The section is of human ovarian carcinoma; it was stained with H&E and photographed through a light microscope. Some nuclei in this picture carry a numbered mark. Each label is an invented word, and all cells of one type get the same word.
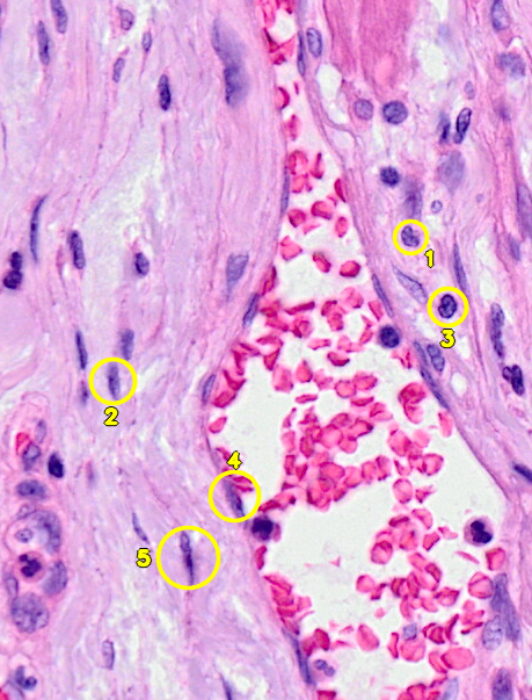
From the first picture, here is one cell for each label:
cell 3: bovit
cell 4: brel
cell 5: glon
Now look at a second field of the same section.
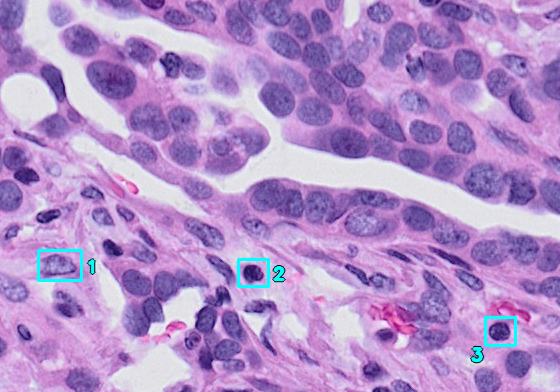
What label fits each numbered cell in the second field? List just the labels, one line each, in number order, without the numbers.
glon
bovit
bovit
